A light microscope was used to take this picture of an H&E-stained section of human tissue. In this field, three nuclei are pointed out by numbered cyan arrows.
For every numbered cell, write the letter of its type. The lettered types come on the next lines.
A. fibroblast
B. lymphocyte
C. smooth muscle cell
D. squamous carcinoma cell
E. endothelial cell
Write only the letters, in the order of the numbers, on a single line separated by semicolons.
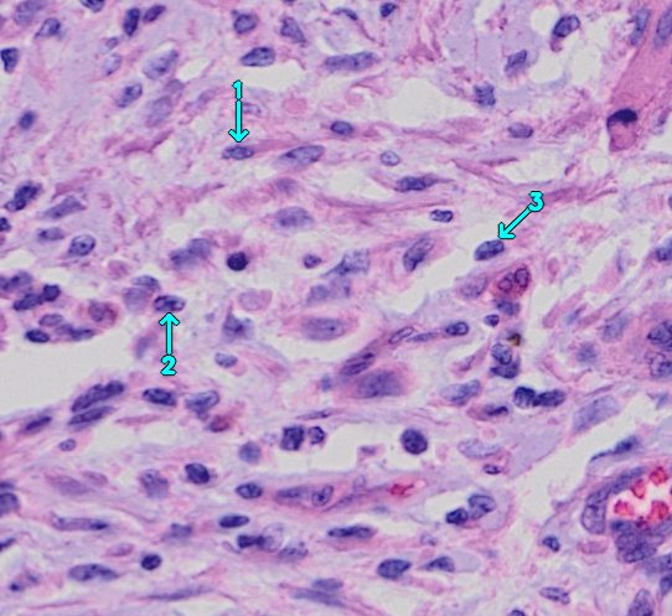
A; B; B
